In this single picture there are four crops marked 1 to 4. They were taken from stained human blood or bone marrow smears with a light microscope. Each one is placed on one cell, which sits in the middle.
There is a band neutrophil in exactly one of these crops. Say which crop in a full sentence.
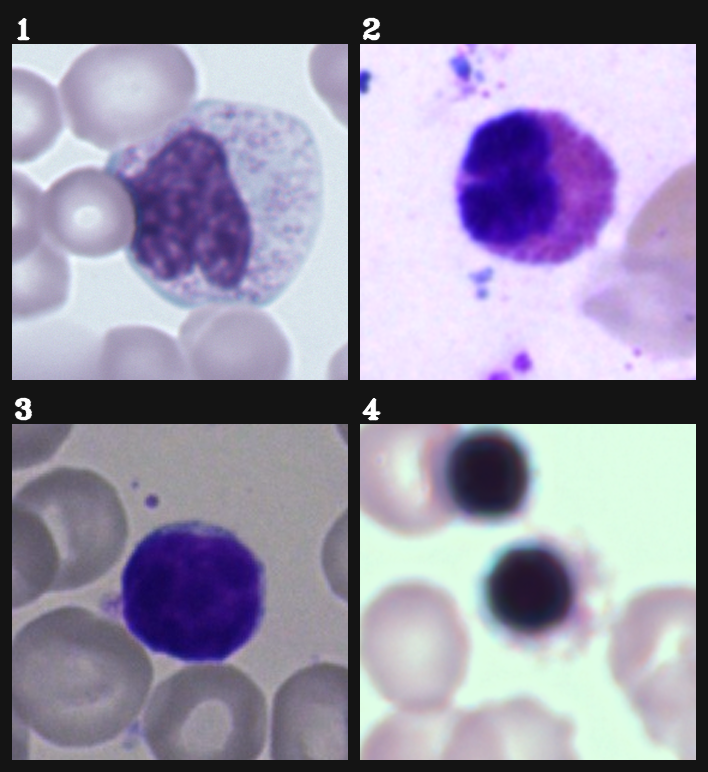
It is the cell in crop 1 that is a band neutrophil.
